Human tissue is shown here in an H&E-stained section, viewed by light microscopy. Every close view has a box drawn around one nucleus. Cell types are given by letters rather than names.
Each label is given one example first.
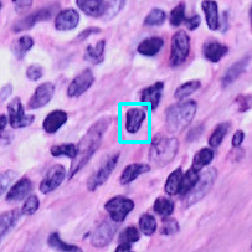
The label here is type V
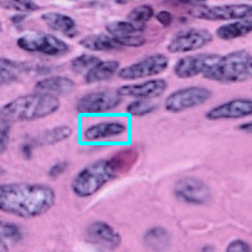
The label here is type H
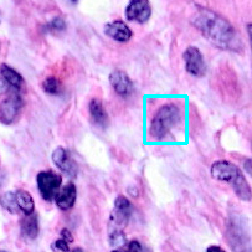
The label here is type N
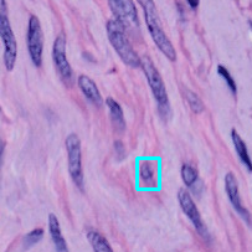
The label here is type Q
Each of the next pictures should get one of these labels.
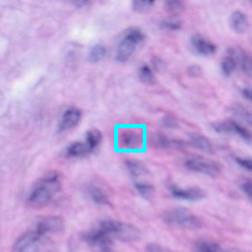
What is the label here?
type Q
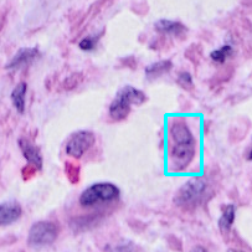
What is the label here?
type N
